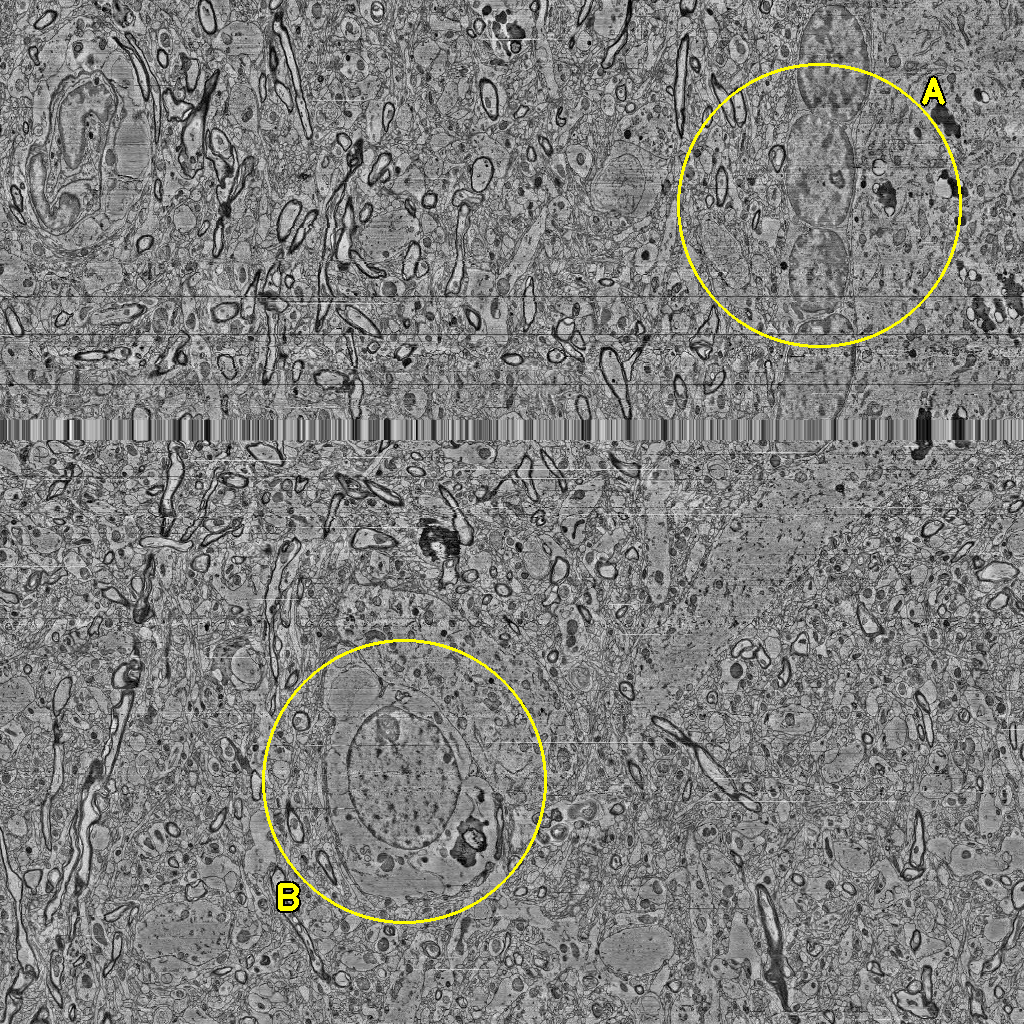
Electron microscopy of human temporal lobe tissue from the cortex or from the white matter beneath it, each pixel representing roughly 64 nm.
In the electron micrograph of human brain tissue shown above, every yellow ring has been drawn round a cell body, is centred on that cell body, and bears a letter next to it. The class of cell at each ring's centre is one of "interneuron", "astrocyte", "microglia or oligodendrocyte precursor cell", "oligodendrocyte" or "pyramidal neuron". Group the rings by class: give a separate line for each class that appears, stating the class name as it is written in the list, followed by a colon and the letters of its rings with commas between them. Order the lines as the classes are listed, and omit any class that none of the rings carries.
astrocyte: B
oligodendrocyte: A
